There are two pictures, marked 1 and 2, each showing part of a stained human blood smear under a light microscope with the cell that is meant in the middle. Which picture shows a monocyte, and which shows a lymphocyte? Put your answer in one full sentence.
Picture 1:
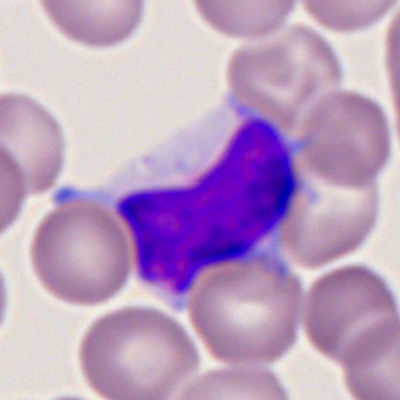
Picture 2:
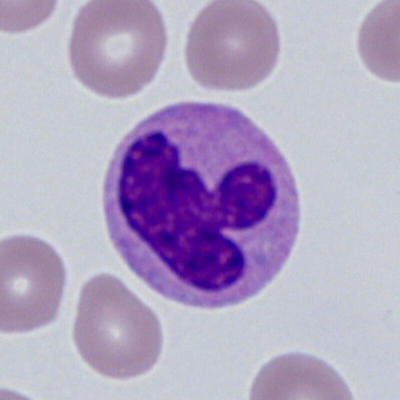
It is picture 1 that shows a lymphocyte, and picture 2 that shows a monocyte.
